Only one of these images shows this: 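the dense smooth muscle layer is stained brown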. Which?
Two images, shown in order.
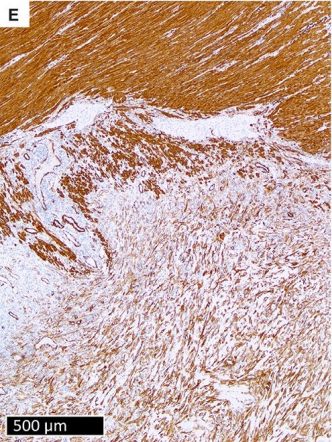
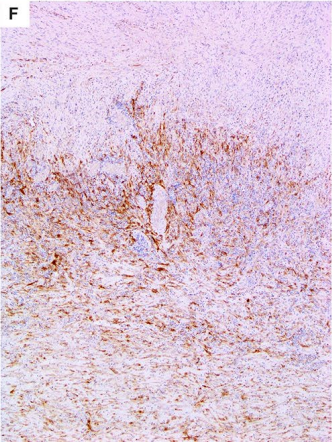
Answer: The first image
